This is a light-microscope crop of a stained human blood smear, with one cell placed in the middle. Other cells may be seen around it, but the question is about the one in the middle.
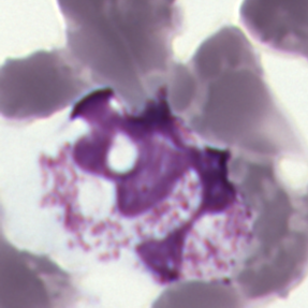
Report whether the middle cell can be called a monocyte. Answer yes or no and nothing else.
no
